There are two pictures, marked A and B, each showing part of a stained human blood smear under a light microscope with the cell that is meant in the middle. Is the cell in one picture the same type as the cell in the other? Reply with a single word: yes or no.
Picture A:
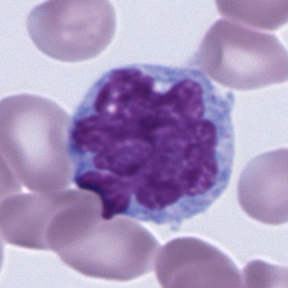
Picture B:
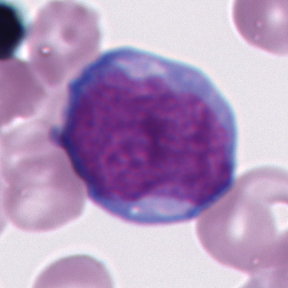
no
